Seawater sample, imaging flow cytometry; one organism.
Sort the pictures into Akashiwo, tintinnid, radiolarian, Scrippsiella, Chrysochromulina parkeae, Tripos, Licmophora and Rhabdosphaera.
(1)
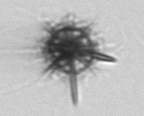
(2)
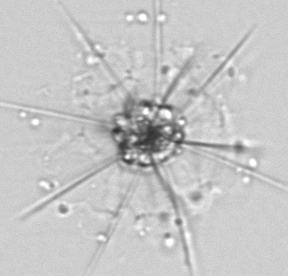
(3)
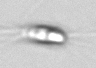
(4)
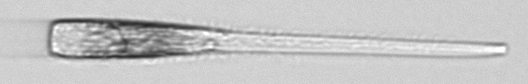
Radiolarians: 1, 2
Chrysochromulina parkeae: 3
Licmophora: 4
